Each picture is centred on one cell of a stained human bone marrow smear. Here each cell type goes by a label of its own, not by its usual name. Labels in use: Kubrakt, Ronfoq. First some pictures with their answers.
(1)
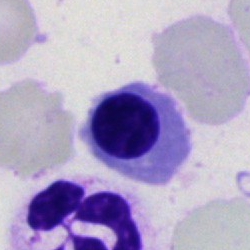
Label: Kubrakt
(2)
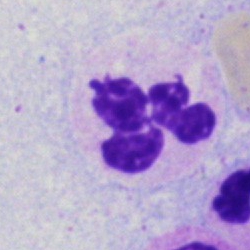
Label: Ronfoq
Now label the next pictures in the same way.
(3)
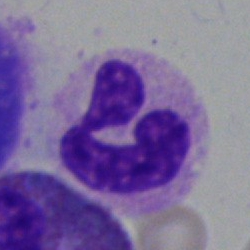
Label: Ronfoq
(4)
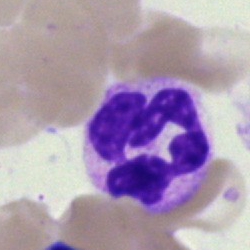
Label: Ronfoq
